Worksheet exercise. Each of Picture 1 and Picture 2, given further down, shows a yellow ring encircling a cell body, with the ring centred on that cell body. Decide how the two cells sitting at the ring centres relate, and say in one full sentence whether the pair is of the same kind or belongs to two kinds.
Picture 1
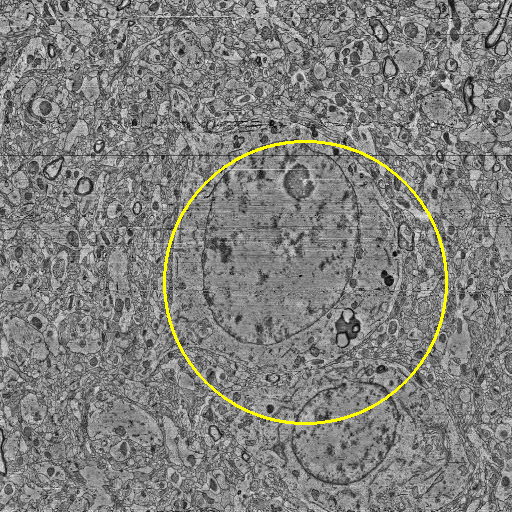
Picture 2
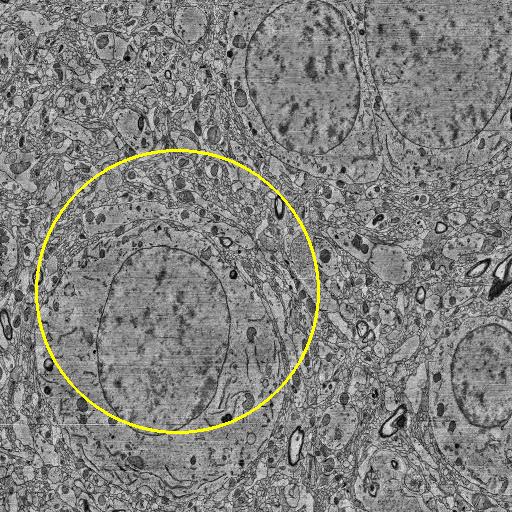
The cells at the ring centres in Picture 1 and Picture 2 are of the same kind.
